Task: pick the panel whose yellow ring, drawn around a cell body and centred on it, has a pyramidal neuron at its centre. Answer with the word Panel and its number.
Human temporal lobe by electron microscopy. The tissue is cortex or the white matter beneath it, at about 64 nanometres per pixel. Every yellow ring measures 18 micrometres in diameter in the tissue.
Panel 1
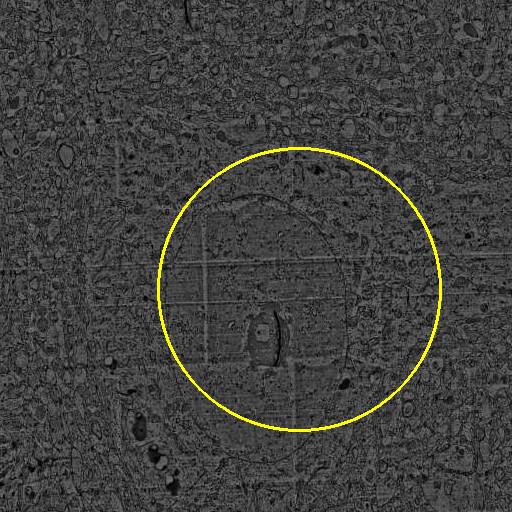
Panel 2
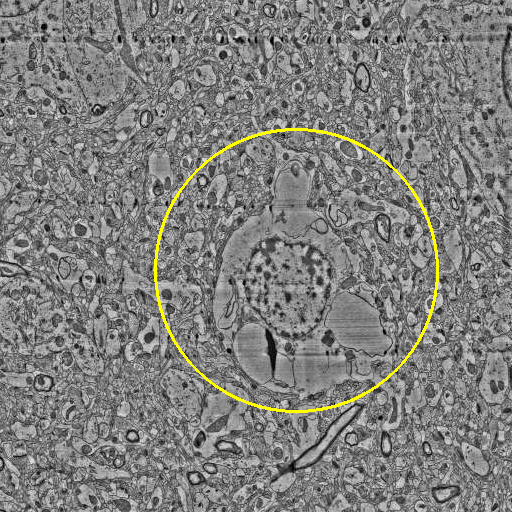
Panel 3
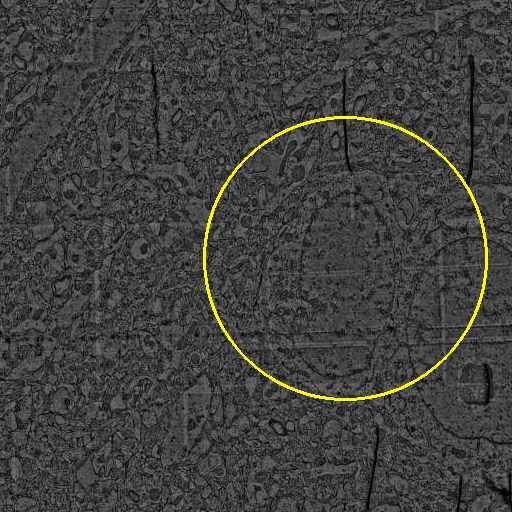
Panel 1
